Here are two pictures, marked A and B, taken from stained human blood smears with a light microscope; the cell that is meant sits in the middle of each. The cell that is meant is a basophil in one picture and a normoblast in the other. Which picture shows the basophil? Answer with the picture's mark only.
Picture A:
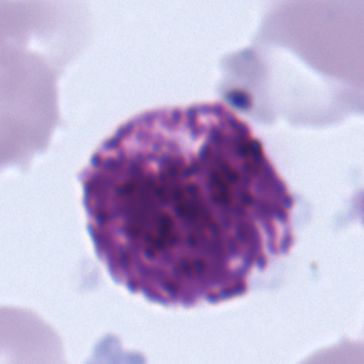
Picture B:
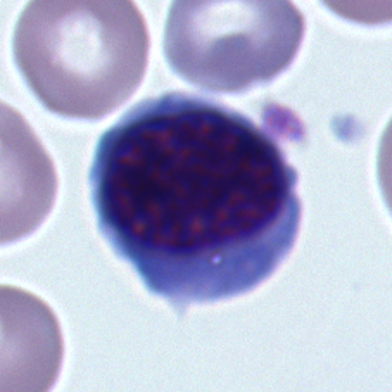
A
